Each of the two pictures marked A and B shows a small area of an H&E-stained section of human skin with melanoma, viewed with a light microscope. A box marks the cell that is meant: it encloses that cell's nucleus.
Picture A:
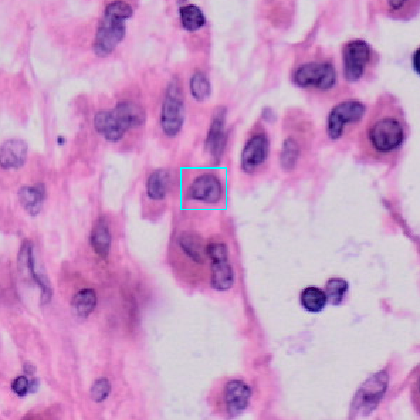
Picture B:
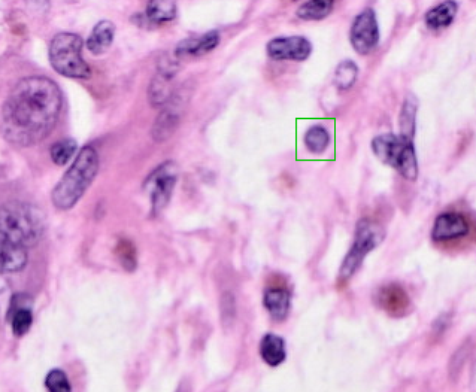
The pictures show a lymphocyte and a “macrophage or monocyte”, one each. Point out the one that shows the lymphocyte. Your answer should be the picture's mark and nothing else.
B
